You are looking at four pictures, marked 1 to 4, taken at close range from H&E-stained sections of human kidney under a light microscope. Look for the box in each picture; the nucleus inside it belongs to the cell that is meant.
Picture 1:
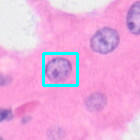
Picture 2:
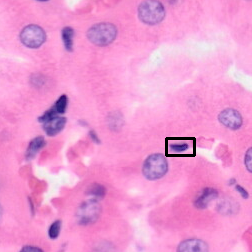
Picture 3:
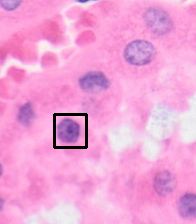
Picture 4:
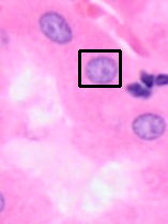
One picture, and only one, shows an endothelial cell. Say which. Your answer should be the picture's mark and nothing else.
2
